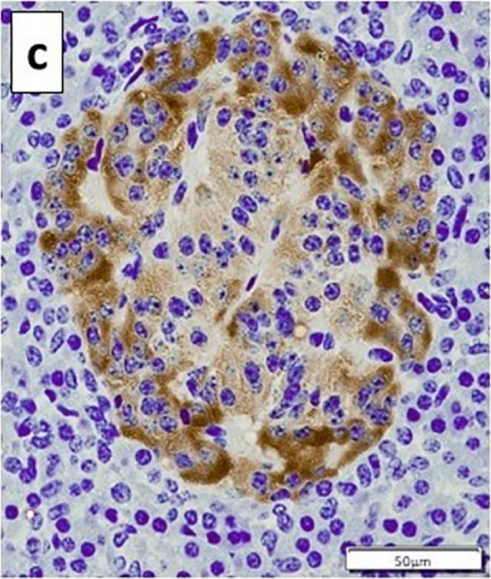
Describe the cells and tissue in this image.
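A large pancreatic islet lies within exocrine tissue whose nuclei are stained dark purple. Brown stain fills much of the islet, strongest in dense bands and clumps toward the periphery, while cells in the centre show a paler, finely granular brown. Nuclei throughout the islet are round to oval and purple. Small clear spaces and thin pale strands run between the cords of islet cells.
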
